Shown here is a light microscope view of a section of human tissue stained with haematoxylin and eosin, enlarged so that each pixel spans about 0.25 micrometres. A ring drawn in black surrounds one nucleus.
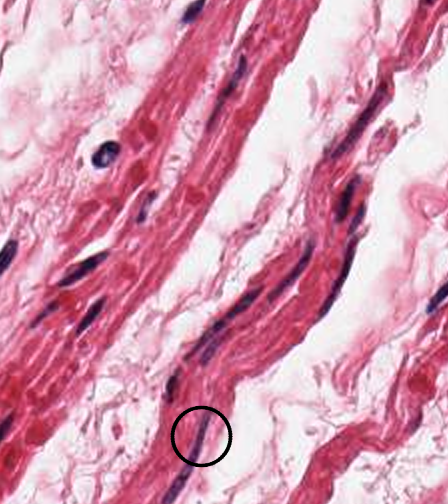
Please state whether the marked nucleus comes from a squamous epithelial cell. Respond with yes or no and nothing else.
no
